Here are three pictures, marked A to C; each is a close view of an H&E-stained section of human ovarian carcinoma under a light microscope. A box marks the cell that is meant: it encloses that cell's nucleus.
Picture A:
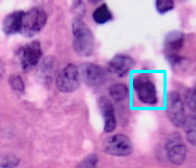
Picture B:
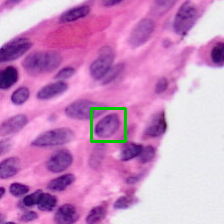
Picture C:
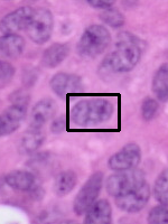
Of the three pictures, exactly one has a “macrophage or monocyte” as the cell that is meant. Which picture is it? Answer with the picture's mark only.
B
